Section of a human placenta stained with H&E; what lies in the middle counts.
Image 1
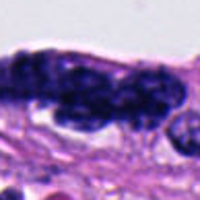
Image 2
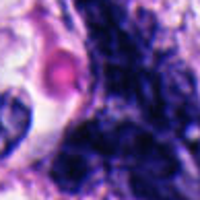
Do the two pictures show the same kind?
Yes, both are syncytial knots.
